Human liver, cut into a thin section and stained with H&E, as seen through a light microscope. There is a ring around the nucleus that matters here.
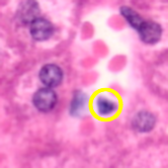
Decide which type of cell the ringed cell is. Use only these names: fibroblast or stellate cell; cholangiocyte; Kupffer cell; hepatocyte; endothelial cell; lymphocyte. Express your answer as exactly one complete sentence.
In the tissue at hand, the ringed cell is a lymphocyte.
